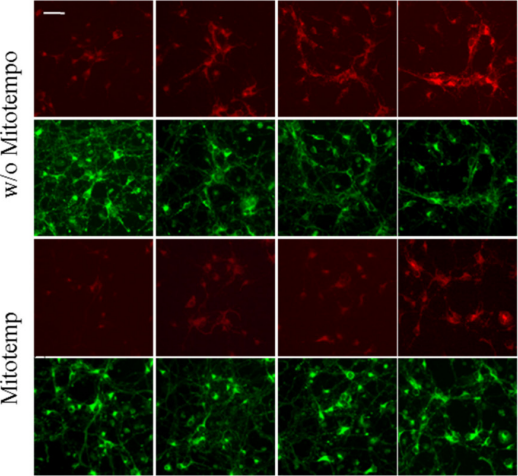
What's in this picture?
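A grid of fluorescence images of neurons is arranged in four columns and four rows, with rows of red signal alternating with rows of green signal. In the green rows, scattered small, rounded cell bodies give rise to long, thin, branching processes that cross one another and form a loose meshwork over a dark background. In the red rows, the signal is mainly in the cell bodies and the thicker proximal processes, with the fine processes faint or absent. The red brightness differs from field to field; it is strongest in the rightmost image of the upper red row, where the cell bodies and processes are brightly outlined.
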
